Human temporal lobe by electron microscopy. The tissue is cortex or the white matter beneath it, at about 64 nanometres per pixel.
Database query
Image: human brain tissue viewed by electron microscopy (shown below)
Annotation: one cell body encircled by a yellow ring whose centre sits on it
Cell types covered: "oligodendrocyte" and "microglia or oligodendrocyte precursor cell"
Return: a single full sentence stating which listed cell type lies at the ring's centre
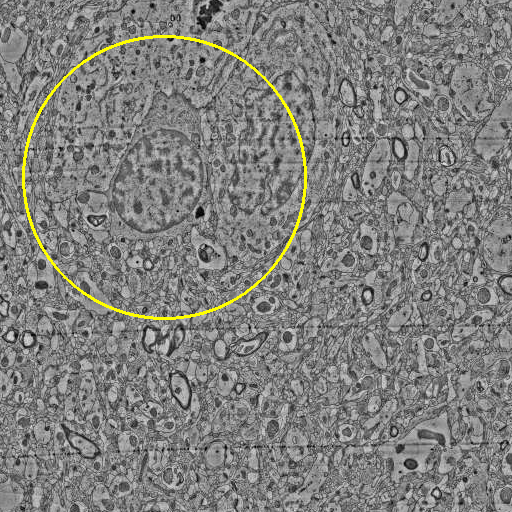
In the image, the cell lying at the ring's centre is an oligodendrocyte.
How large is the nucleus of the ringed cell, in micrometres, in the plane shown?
The nucleus appears roughly 7 by 6 micrometres in this plane.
